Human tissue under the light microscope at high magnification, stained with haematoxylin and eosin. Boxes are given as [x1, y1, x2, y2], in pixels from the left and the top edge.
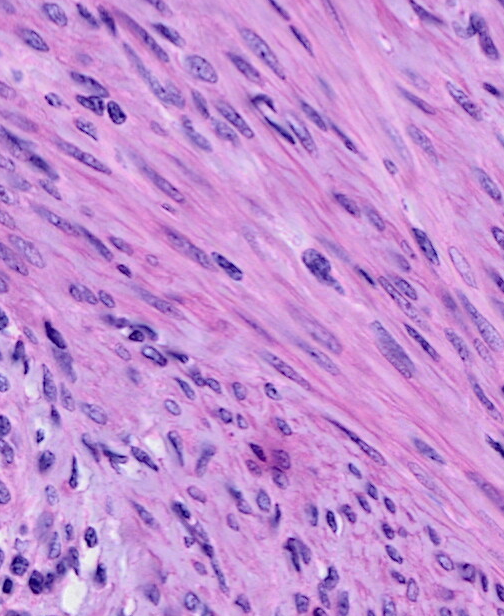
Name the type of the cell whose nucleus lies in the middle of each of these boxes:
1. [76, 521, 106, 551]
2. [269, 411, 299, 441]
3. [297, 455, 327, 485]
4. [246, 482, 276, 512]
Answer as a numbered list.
1. lymphocyte
2. smooth muscle cell
3. smooth muscle cell
4. smooth muscle cell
